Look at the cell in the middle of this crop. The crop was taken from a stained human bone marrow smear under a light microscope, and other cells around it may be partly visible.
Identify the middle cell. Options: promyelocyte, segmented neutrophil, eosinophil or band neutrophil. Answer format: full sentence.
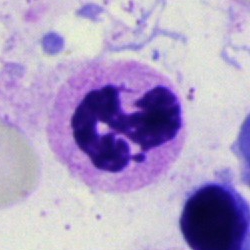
Answering briefly, the cell in the middle is a segmented neutrophil.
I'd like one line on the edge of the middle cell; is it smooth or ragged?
Smooth all around, the outline has no projections to report.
